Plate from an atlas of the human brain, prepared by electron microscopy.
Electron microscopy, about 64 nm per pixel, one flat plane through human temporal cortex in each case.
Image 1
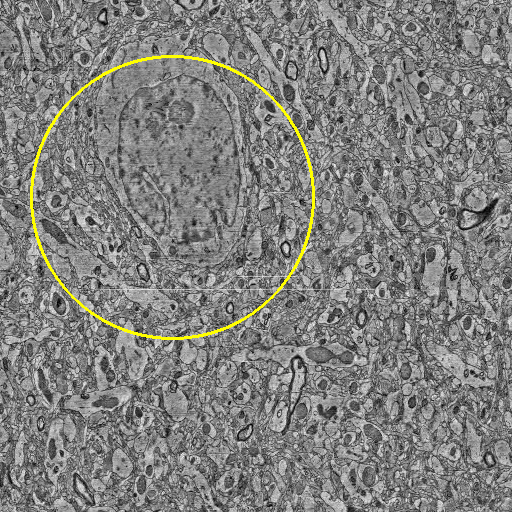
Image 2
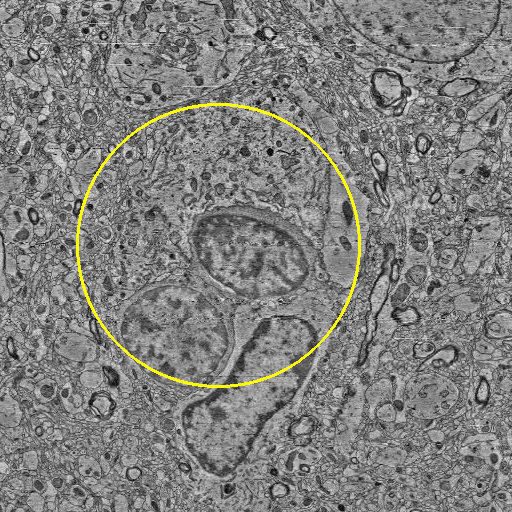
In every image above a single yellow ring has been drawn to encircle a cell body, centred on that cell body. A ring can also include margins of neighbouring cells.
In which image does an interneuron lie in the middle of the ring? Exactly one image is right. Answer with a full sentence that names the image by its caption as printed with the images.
Image 1 holds the requested cell at the very centre of its ring.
